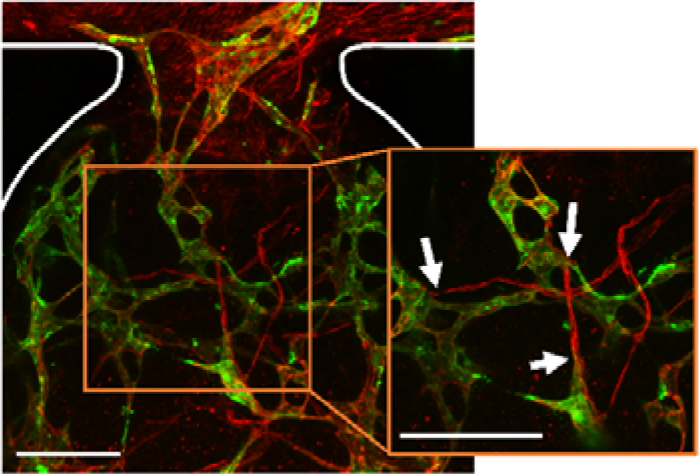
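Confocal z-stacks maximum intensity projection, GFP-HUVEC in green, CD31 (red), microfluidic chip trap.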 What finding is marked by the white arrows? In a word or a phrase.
Anastomosis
